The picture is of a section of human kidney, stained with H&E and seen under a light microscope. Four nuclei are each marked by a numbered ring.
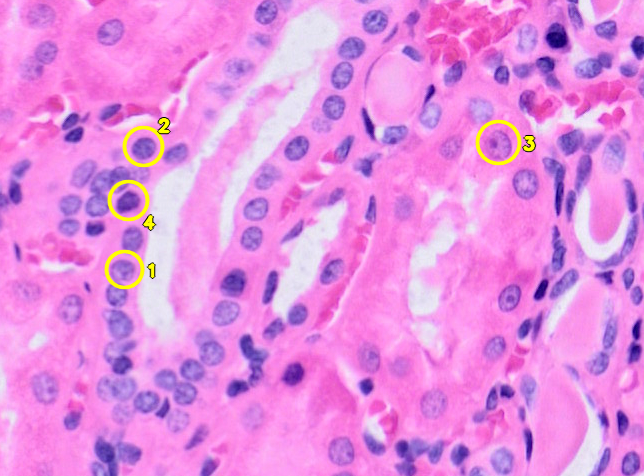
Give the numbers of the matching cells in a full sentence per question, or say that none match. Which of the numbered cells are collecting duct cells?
Cells numbered 1, 2 and 4 belong to the group of collecting duct cells.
